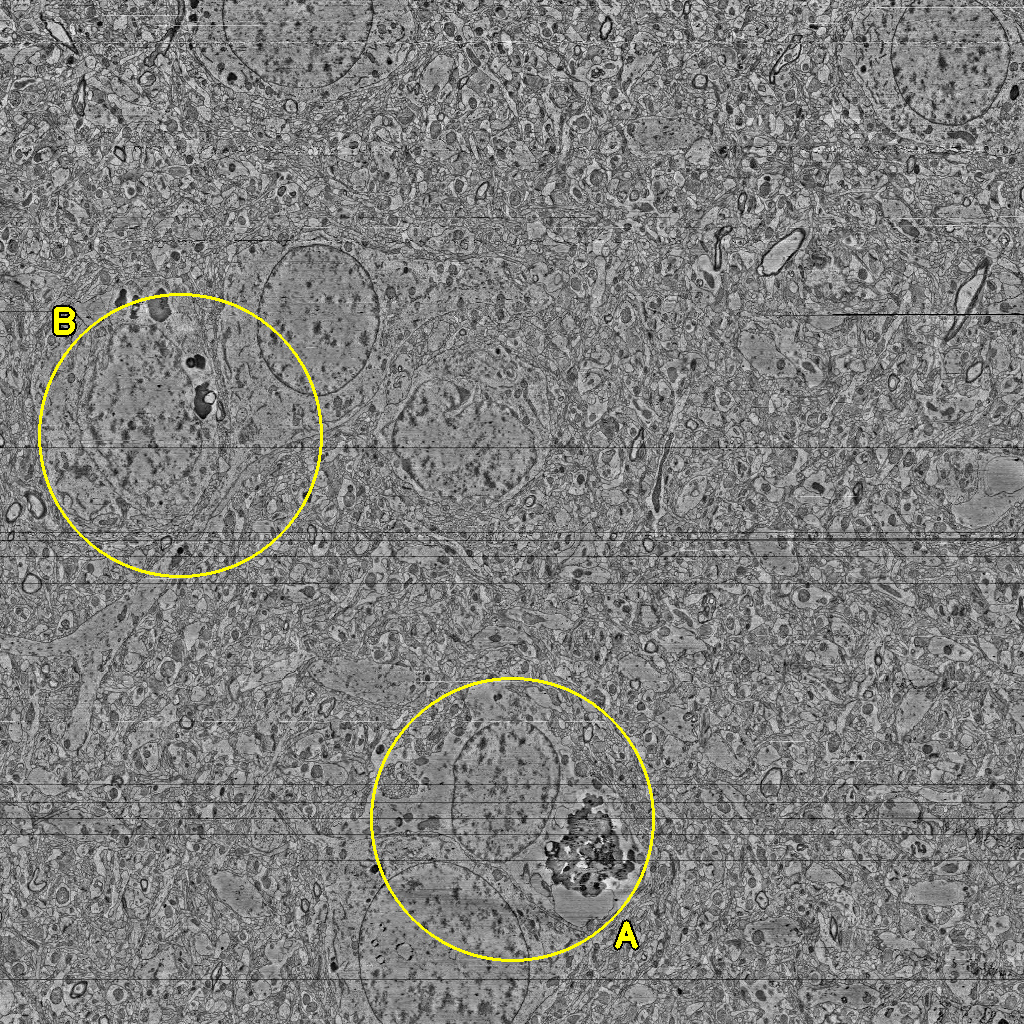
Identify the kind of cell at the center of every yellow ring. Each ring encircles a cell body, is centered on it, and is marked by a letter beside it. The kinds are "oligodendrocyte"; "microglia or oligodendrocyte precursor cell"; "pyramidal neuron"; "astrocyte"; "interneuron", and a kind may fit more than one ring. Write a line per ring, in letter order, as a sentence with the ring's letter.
The cell centered in ring A is an astrocyte.
The cell centered in ring B is an interneuron.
